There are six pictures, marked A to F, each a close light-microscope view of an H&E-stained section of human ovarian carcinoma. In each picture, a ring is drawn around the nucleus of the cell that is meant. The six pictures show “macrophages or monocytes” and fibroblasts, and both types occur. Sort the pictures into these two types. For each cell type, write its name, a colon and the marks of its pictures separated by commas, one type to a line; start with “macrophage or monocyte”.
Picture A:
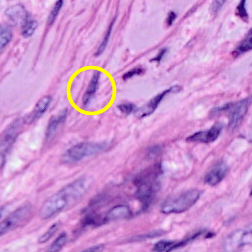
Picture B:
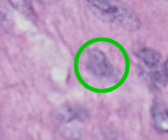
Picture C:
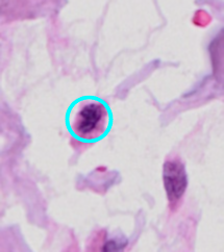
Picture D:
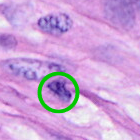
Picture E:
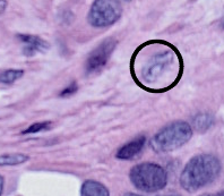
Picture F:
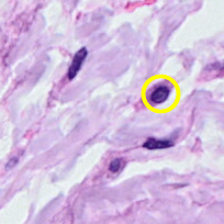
macrophage or monocyte: C, D, F
fibroblast: A, B, E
